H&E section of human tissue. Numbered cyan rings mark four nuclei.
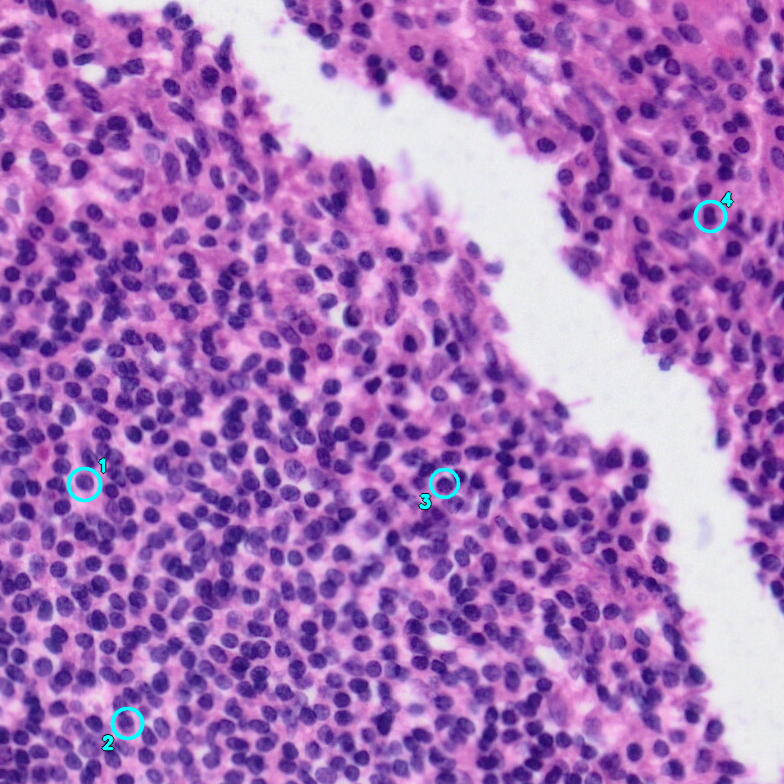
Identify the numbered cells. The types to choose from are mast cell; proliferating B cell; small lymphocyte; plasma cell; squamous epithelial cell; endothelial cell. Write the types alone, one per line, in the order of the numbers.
small lymphocyte
small lymphocyte
small lymphocyte
plasma cell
